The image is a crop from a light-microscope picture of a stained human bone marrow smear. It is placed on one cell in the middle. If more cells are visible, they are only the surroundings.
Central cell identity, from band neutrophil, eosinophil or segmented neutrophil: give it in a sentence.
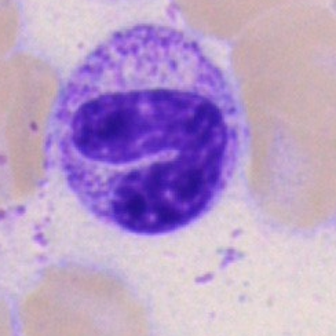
Seen at the centre of the crop is a band neutrophil.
